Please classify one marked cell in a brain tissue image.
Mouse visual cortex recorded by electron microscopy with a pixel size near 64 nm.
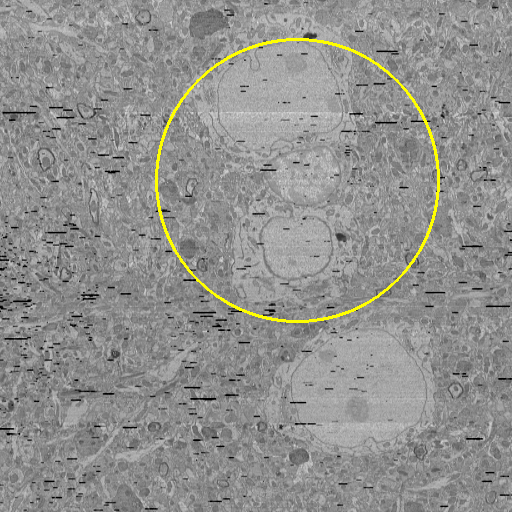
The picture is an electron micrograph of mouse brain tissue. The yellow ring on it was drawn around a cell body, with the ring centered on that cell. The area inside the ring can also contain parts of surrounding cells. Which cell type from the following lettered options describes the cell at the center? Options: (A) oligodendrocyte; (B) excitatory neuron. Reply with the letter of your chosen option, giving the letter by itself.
A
